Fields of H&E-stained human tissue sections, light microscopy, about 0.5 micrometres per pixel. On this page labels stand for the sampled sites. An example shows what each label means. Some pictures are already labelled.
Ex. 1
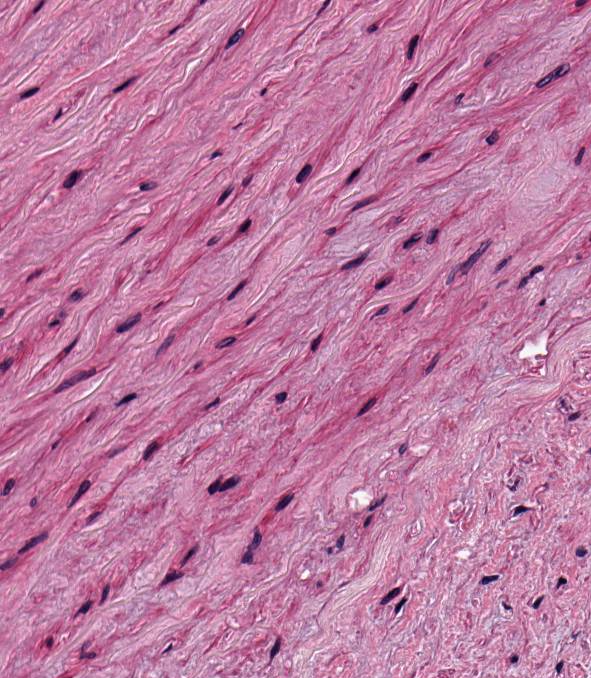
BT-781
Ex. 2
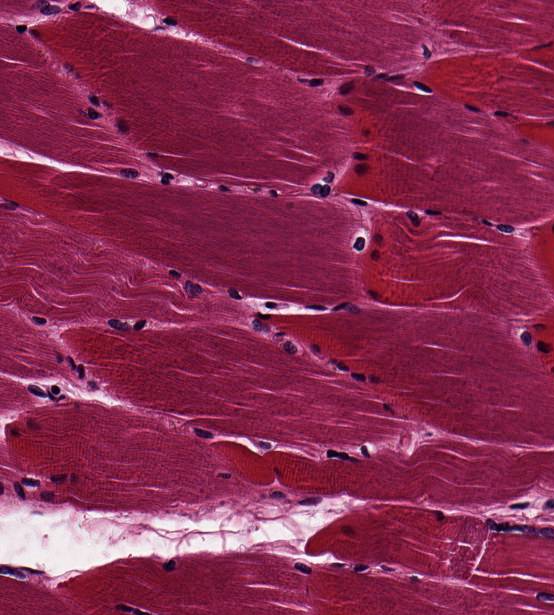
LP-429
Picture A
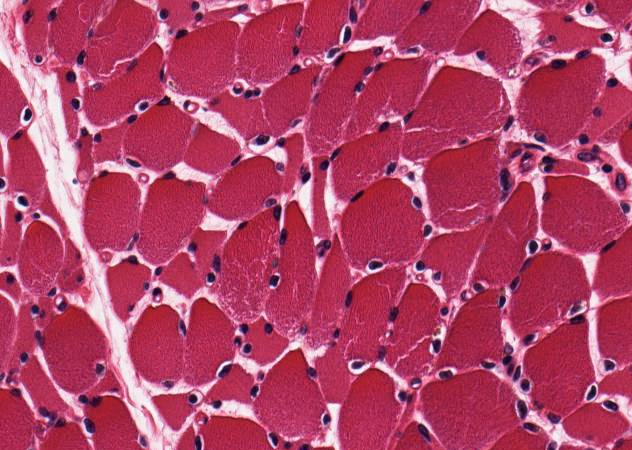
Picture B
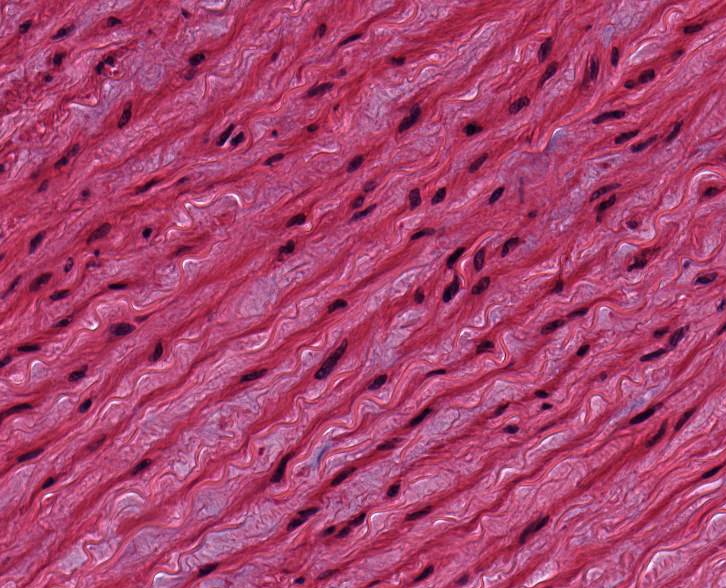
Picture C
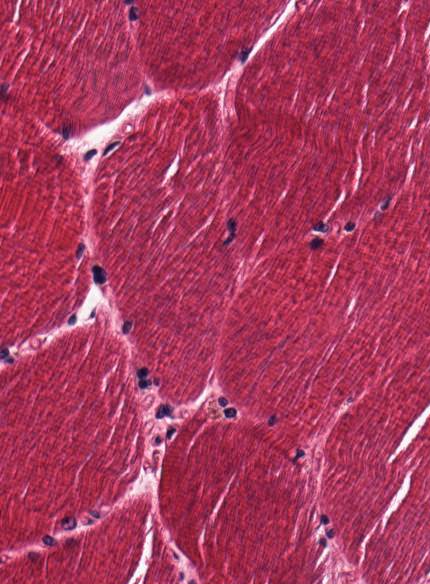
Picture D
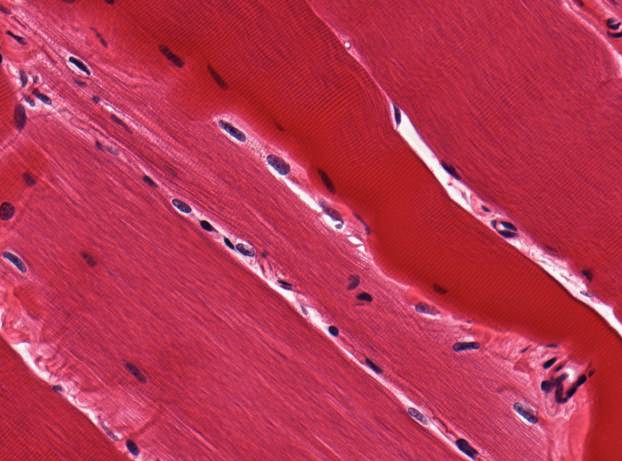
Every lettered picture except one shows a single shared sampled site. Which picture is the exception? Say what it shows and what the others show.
B differs and shows BT-781; the others show LP-429.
